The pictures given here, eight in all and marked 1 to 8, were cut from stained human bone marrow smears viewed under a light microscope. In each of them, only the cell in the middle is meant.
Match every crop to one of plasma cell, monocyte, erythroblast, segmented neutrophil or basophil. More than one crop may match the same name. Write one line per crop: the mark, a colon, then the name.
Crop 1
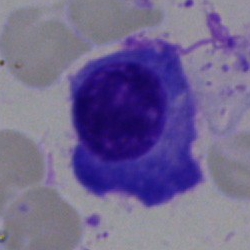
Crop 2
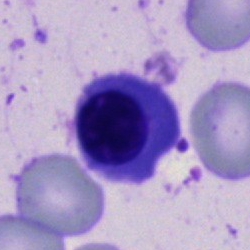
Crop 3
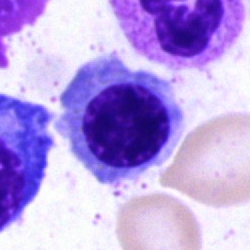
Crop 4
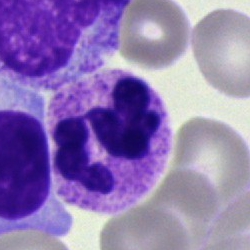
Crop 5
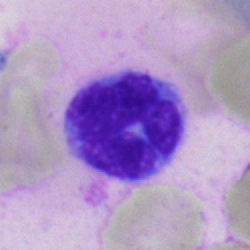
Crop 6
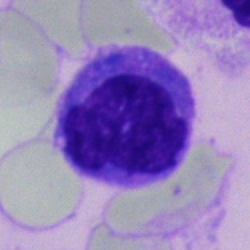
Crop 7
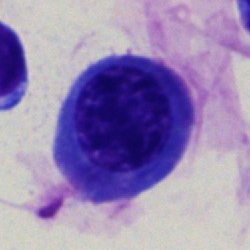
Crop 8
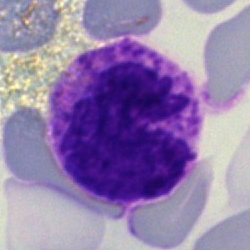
1: plasma cell
2: erythroblast
3: erythroblast
4: segmented neutrophil
5: monocyte
6: monocyte
7: erythroblast
8: basophil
